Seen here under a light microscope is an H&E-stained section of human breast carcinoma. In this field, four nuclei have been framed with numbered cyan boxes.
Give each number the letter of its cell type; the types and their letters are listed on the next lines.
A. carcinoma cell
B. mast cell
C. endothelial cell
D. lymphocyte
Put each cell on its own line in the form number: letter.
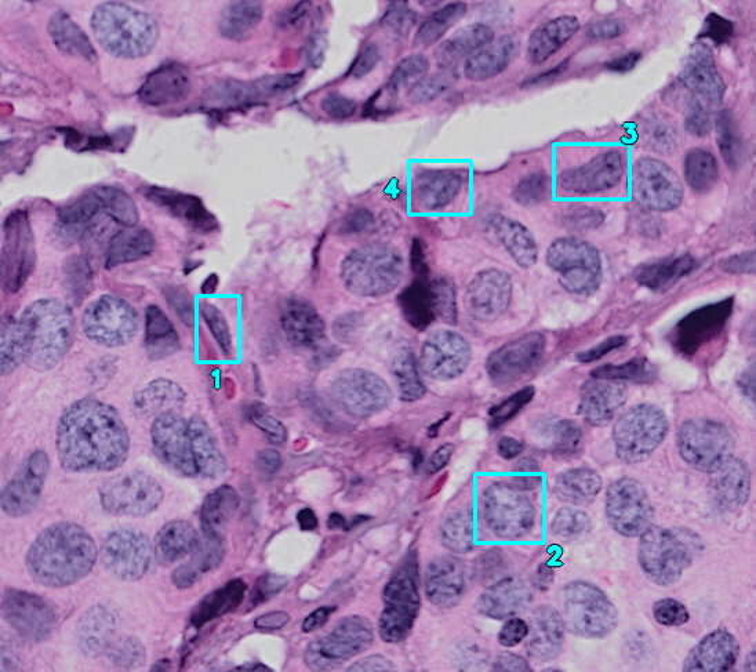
1: C
2: A
3: A
4: A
